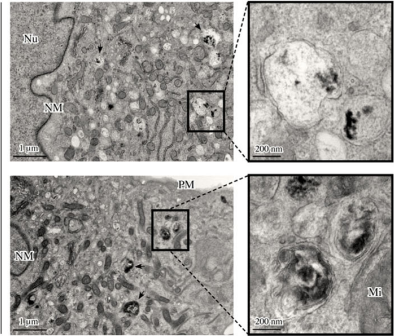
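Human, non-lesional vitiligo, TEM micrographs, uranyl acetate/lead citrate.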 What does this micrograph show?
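Thin sections through the cytoplasm of melanocytes, with part of the nucleus and its envelope at one side and the plasma membrane at the edge. The cytoplasm is crowded with mitochondria, membranes and many small pale vesicles, among which lie rounded membrane-bound vacuoles filled with irregular, very dark, electron-dense granules and fragmented material. Enlarged views show these vacuoles with single or multiple membranes enclosing dark clumps and lighter debris, next to a mitochondrion.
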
